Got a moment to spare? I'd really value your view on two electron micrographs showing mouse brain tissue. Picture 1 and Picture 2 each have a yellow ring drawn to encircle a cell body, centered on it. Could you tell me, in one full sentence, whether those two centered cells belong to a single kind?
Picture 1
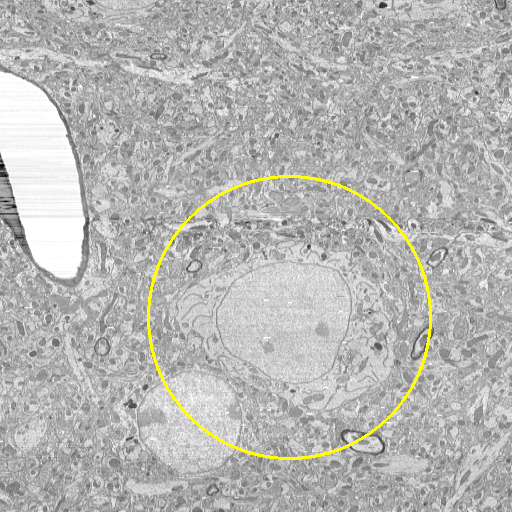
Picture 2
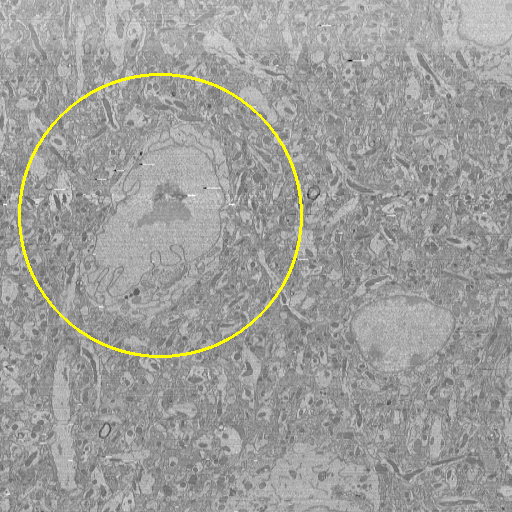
No, the two centered cells in Picture 1 and Picture 2 are of two kinds.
